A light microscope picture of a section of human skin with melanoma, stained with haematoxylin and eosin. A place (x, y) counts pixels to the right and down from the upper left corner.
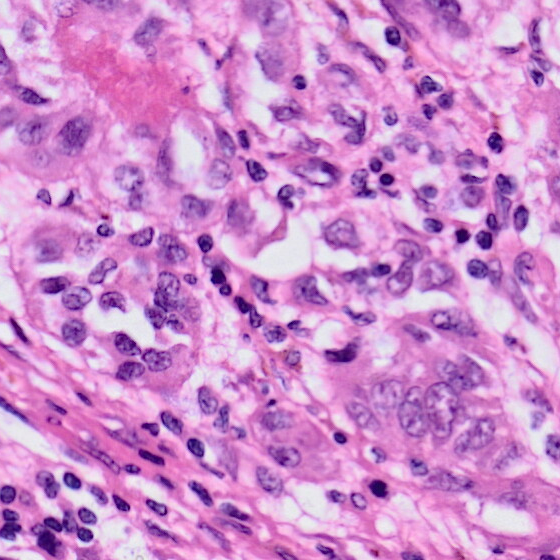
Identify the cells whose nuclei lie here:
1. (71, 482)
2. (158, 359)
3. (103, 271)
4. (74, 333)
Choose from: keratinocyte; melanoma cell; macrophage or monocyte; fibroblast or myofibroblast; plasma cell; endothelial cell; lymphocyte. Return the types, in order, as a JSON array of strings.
["lymphocyte", "melanoma cell", "melanoma cell", "melanoma cell"]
